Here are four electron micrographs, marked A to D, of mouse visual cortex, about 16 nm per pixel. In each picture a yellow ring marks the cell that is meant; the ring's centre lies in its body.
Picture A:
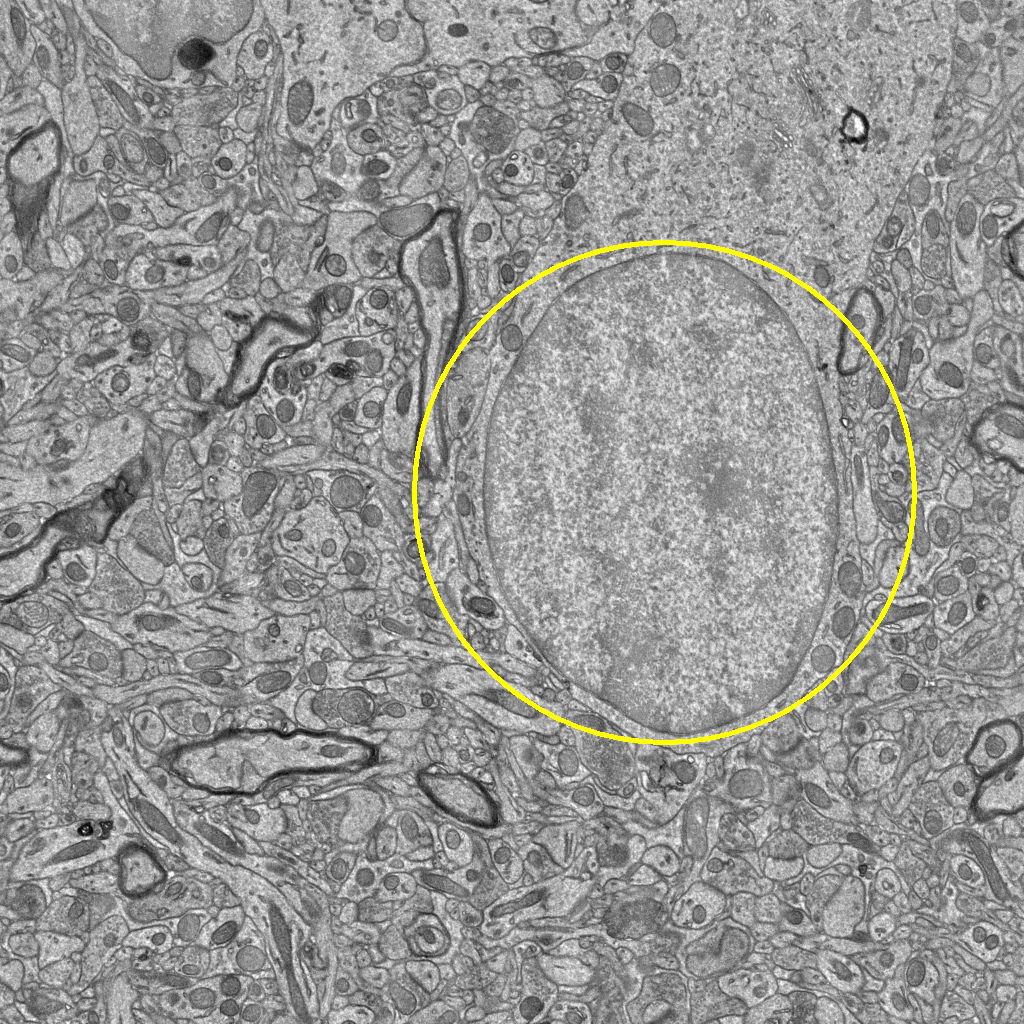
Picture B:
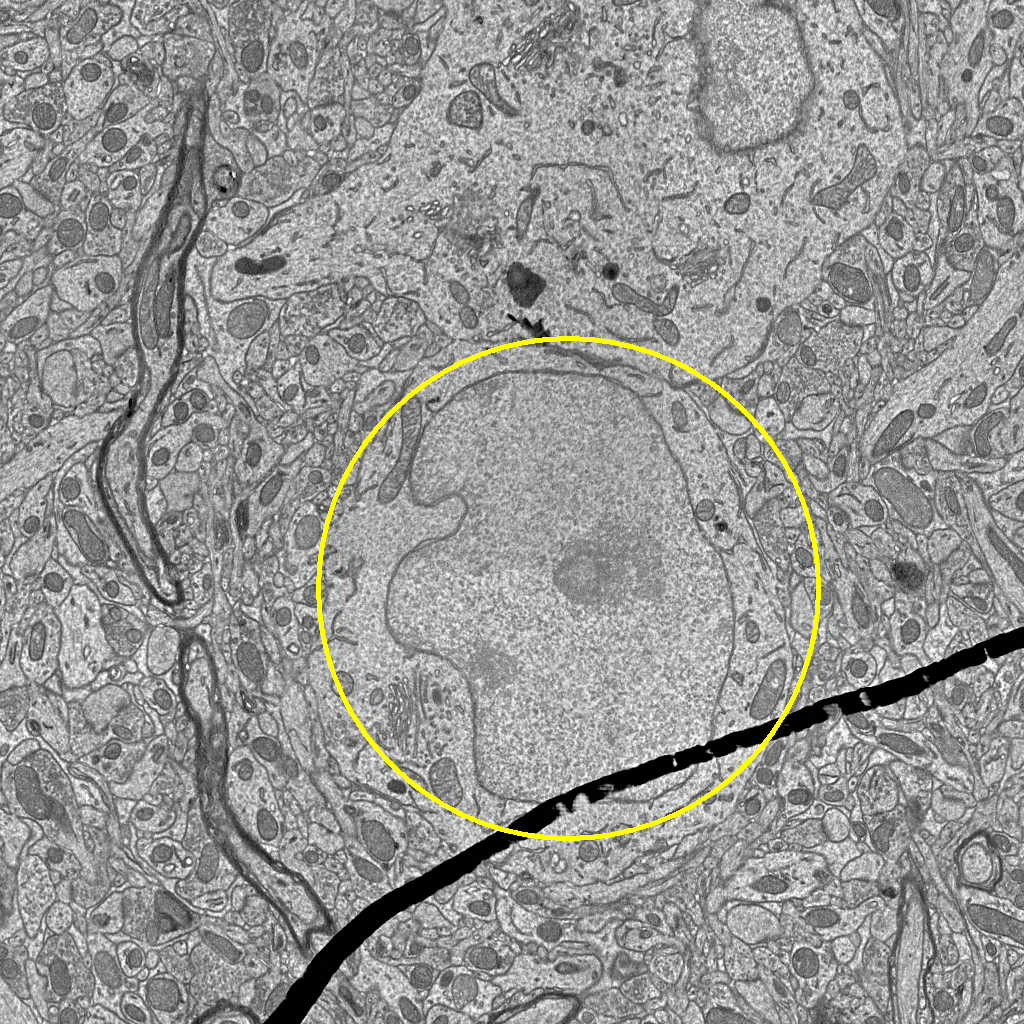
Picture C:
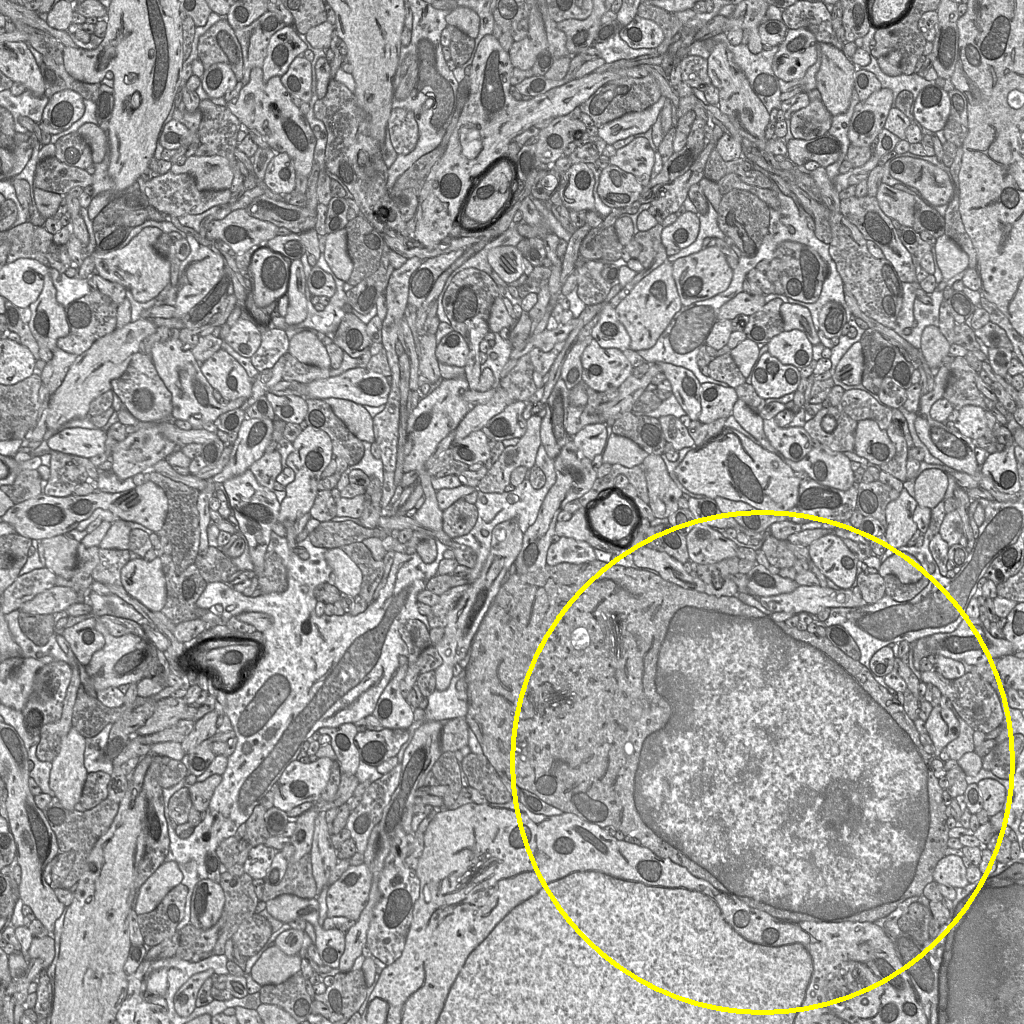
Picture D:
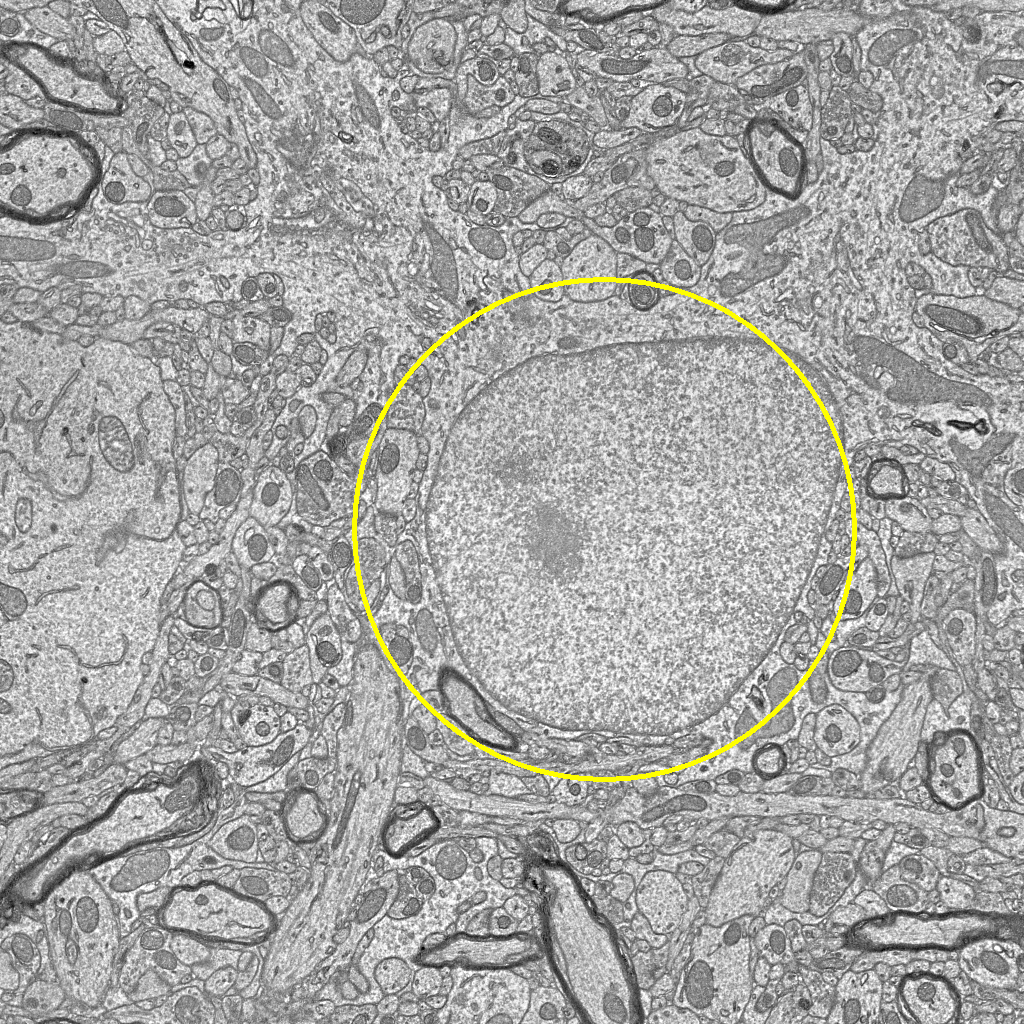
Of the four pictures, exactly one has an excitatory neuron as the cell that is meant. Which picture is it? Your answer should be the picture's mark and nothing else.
B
